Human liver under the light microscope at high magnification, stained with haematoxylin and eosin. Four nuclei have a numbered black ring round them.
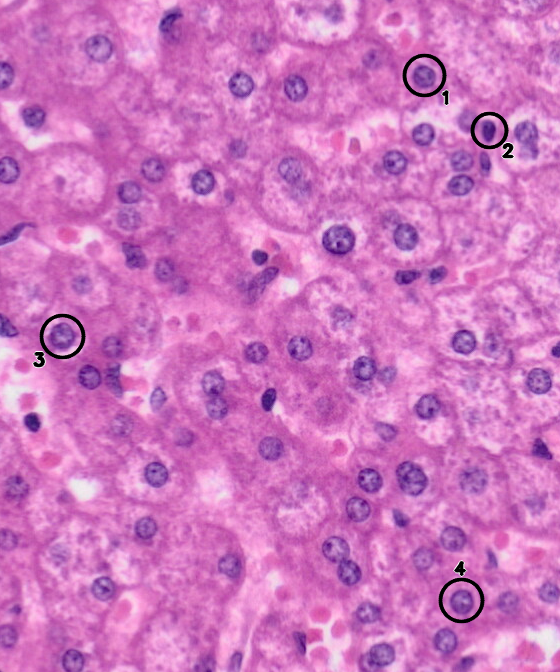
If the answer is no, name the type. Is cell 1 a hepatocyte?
Yes.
